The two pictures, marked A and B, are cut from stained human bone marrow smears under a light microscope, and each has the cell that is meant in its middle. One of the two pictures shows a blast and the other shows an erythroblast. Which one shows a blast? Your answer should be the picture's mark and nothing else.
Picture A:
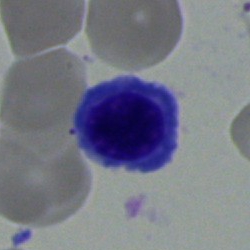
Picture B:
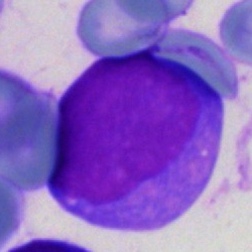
B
